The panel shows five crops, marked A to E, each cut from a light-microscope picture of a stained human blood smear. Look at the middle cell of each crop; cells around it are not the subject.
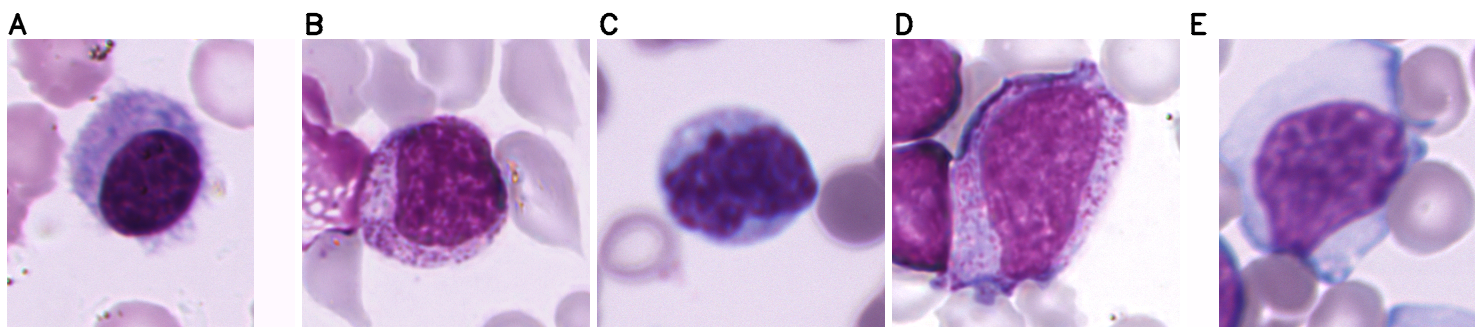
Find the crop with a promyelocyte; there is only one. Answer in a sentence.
The crop that has a promyelocyte in the middle is crop D.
